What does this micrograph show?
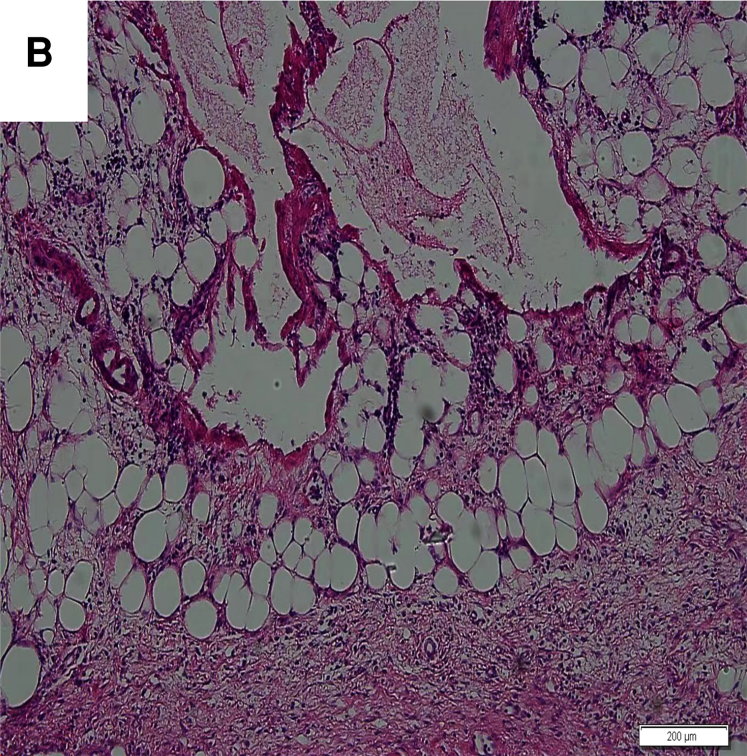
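This is the wall of a cystic cavity, whose lumen at the top is filled with pale pink, finely granular protein-rich exudate. Beneath it lie many empty, round, clear vacuoles separated by thin pink septa, with scattered small, round, dark purple lymphocyte nuclei infiltrating the tissue around the cavity. At the bottom is denser pink fibrous tissue containing spindle-shaped nuclei.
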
